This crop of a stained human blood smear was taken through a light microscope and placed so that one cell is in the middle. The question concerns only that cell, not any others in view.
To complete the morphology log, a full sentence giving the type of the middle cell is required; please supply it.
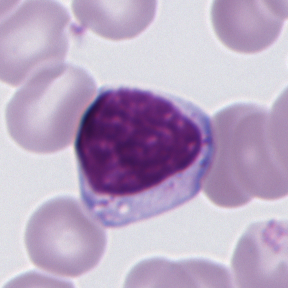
Occupying the centre of the crop is a large granular lymphocyte.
